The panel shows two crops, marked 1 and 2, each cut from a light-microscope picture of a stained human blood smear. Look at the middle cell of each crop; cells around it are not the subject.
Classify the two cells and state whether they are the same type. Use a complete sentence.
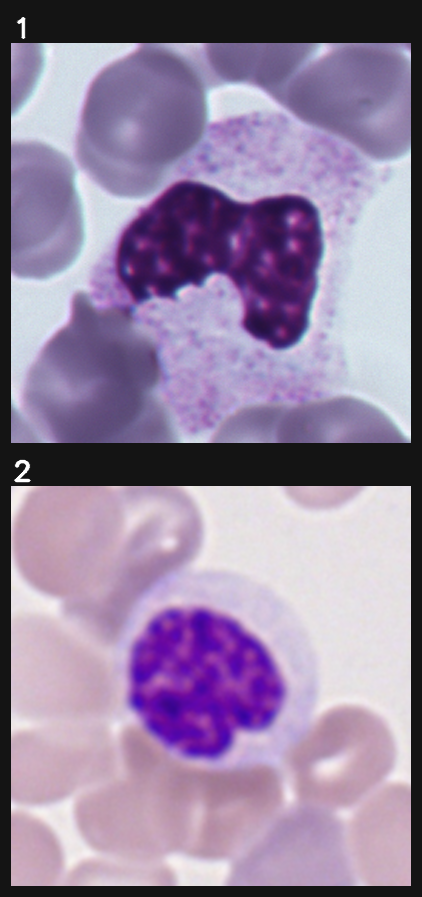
Yes, the cells centred in the two crops are both band neutrophils.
